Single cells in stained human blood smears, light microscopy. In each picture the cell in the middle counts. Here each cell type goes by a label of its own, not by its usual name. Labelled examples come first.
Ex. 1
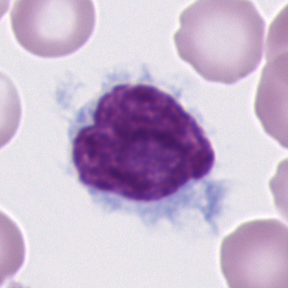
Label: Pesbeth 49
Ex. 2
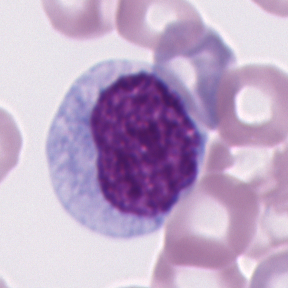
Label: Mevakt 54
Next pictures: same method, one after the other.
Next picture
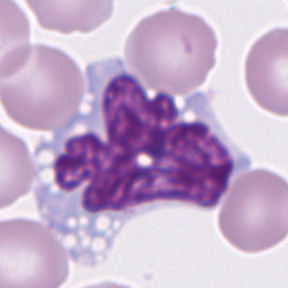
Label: Mevakt 54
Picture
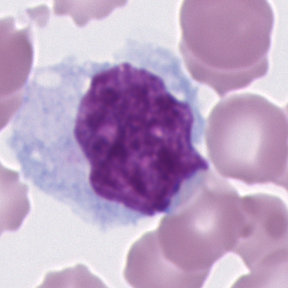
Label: Pesbeth 49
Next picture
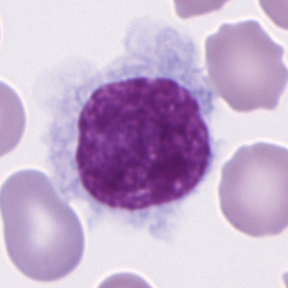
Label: Pesbeth 49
